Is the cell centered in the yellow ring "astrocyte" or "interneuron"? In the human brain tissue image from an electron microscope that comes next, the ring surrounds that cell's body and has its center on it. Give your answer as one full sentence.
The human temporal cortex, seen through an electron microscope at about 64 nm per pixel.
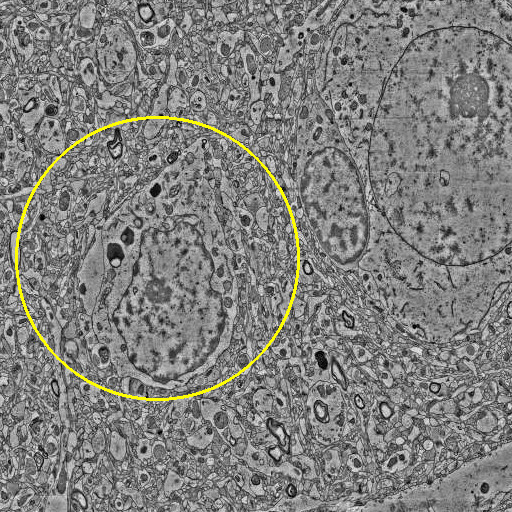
The cell at the center of the yellow ring is an interneuron in the micrograph.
